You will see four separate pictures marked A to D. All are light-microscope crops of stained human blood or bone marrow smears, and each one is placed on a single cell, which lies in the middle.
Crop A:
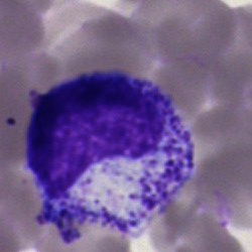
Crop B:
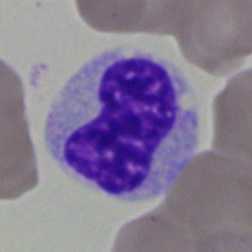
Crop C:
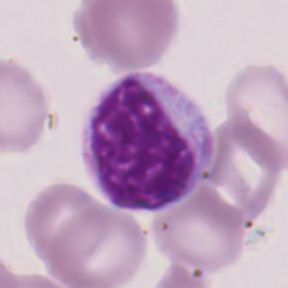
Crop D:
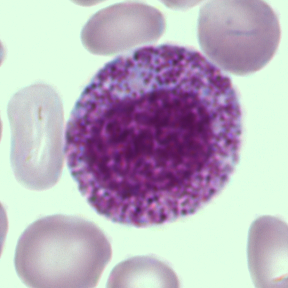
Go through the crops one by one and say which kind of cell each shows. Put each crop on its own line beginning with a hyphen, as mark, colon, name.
- A: metamyelocyte
- B: metamyelocyte
- C: metamyelocyte
- D: myelocyte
